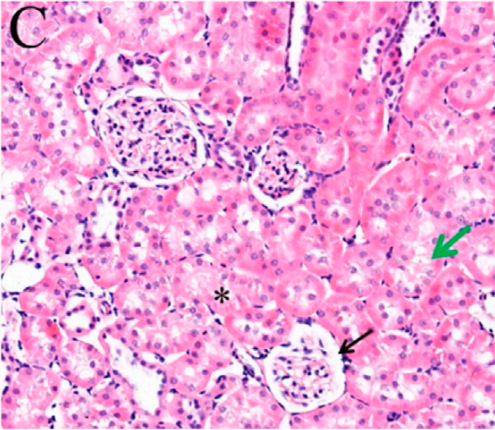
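Kidney cortex with several glomeruli among closely packed tubules, nuclei purple and cytoplasm pink. One glomerulus near the lower edge has a shrunken tuft with a wide clear space inside its capsule. Tubular epithelial cells are cuboidal with round central nuclei; some show paler, finely vacuolated cytoplasm. Tubules are mostly round in cross section with narrow lumina and thin interstitium between them.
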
